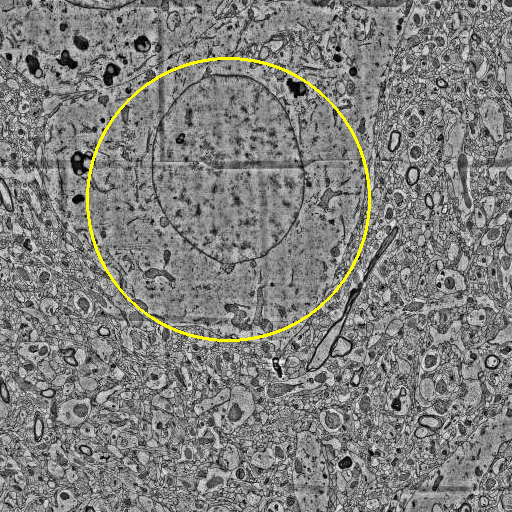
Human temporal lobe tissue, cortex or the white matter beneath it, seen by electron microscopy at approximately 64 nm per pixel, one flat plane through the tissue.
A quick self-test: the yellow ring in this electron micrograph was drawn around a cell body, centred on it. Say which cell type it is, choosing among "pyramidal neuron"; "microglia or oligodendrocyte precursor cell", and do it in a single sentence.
The yellow-ringed cell is a pyramidal neuron.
